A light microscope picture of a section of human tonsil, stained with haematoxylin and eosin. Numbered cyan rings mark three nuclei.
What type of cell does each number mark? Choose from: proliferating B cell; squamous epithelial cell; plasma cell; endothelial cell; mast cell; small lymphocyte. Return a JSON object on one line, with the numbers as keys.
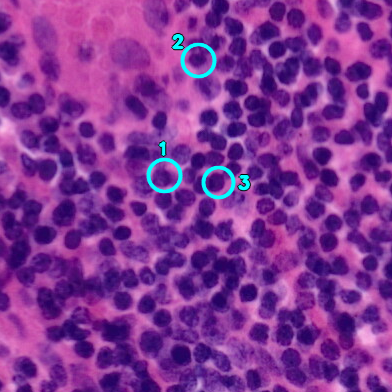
{"1": "small lymphocyte", "2": "endothelial cell", "3": "small lymphocyte"}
